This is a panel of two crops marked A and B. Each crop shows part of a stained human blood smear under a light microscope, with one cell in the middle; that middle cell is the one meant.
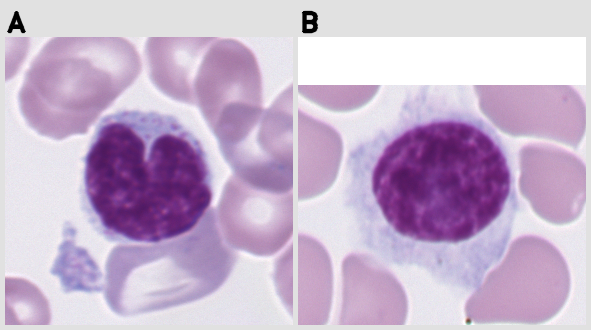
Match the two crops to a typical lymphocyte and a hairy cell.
A: typical lymphocyte
B: hairy cell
